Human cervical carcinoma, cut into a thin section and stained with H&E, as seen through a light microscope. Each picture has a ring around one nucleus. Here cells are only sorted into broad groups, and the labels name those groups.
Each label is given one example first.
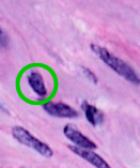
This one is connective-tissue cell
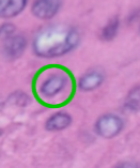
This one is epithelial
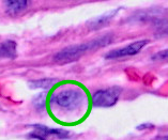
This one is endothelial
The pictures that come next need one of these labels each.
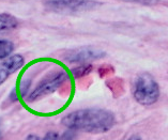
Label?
endothelial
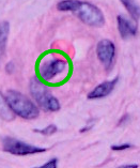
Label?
endothelial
